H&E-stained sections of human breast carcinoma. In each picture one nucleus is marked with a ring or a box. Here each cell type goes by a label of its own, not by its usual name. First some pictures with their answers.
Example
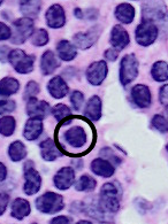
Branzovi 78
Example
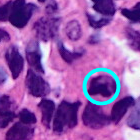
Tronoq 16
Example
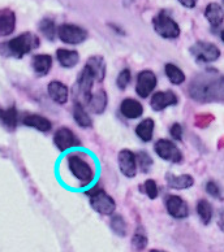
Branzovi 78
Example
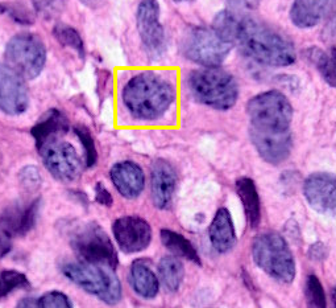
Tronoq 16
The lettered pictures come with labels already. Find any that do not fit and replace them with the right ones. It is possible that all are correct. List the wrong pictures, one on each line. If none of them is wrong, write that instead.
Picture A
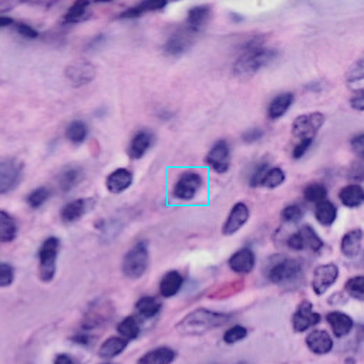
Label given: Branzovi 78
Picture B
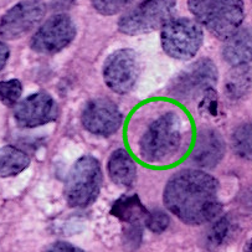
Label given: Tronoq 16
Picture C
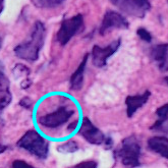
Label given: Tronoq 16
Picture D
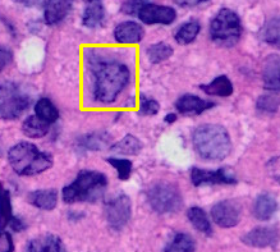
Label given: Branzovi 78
D: change Branzovi 78 to Tronoq 16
